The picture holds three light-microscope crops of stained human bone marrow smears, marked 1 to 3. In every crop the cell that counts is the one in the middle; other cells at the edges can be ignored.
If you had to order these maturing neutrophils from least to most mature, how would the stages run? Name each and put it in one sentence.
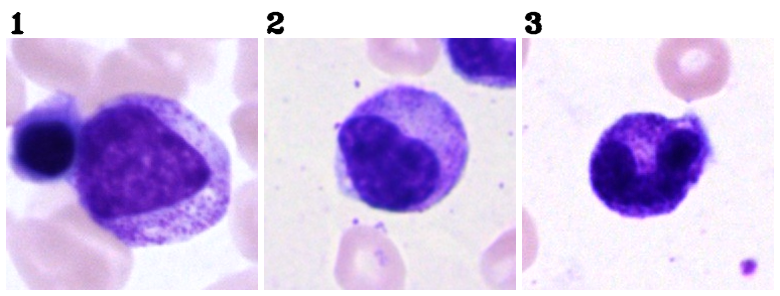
The order of maturity, lowest to highest, is crop 1 (a myelocyte), crop 2 (a metamyelocyte) and crop 3 (a segmented neutrophil).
